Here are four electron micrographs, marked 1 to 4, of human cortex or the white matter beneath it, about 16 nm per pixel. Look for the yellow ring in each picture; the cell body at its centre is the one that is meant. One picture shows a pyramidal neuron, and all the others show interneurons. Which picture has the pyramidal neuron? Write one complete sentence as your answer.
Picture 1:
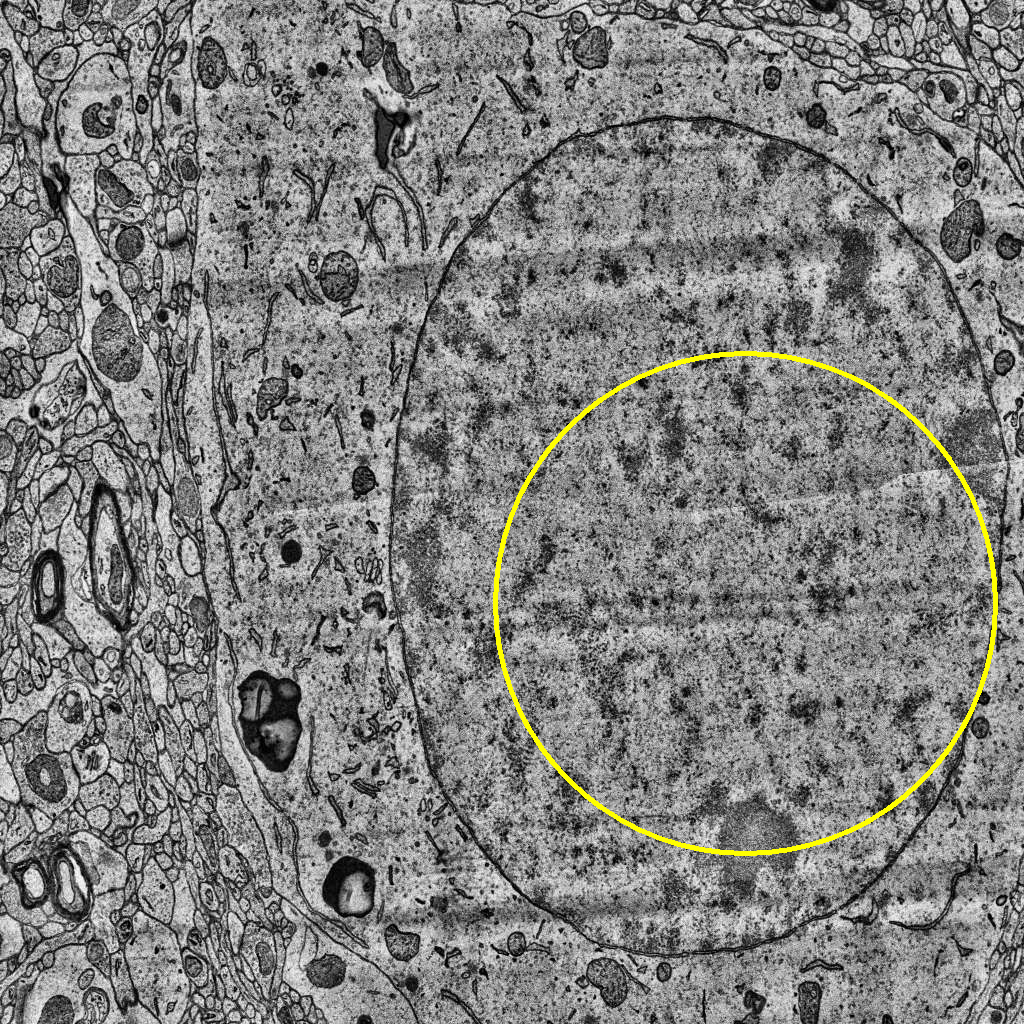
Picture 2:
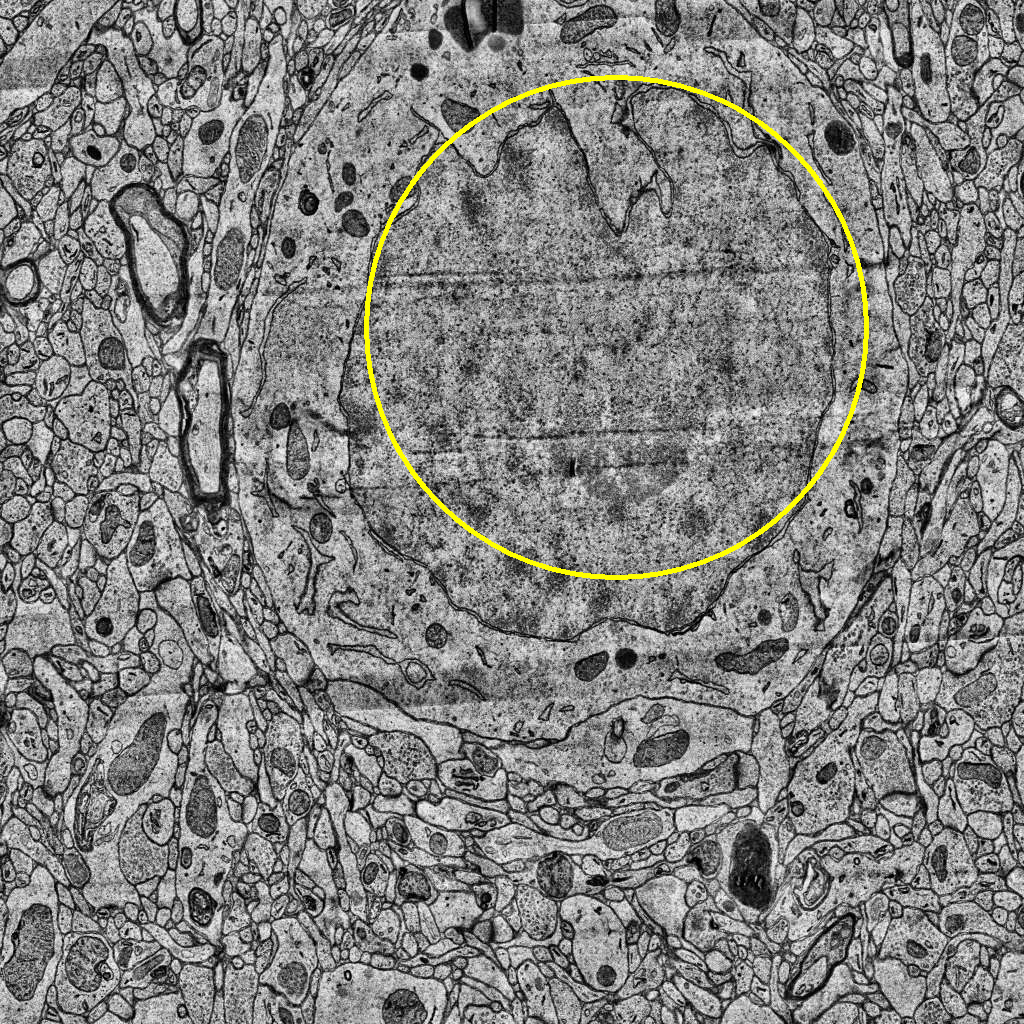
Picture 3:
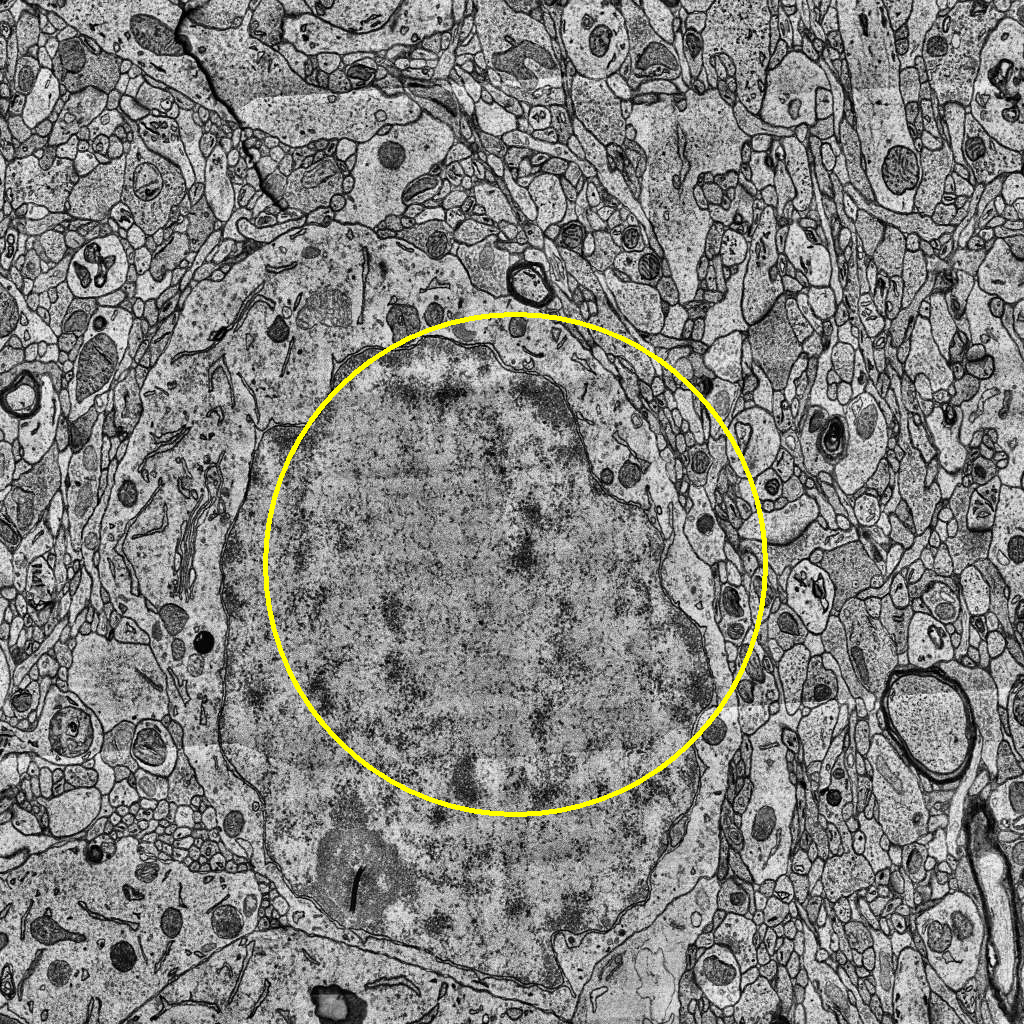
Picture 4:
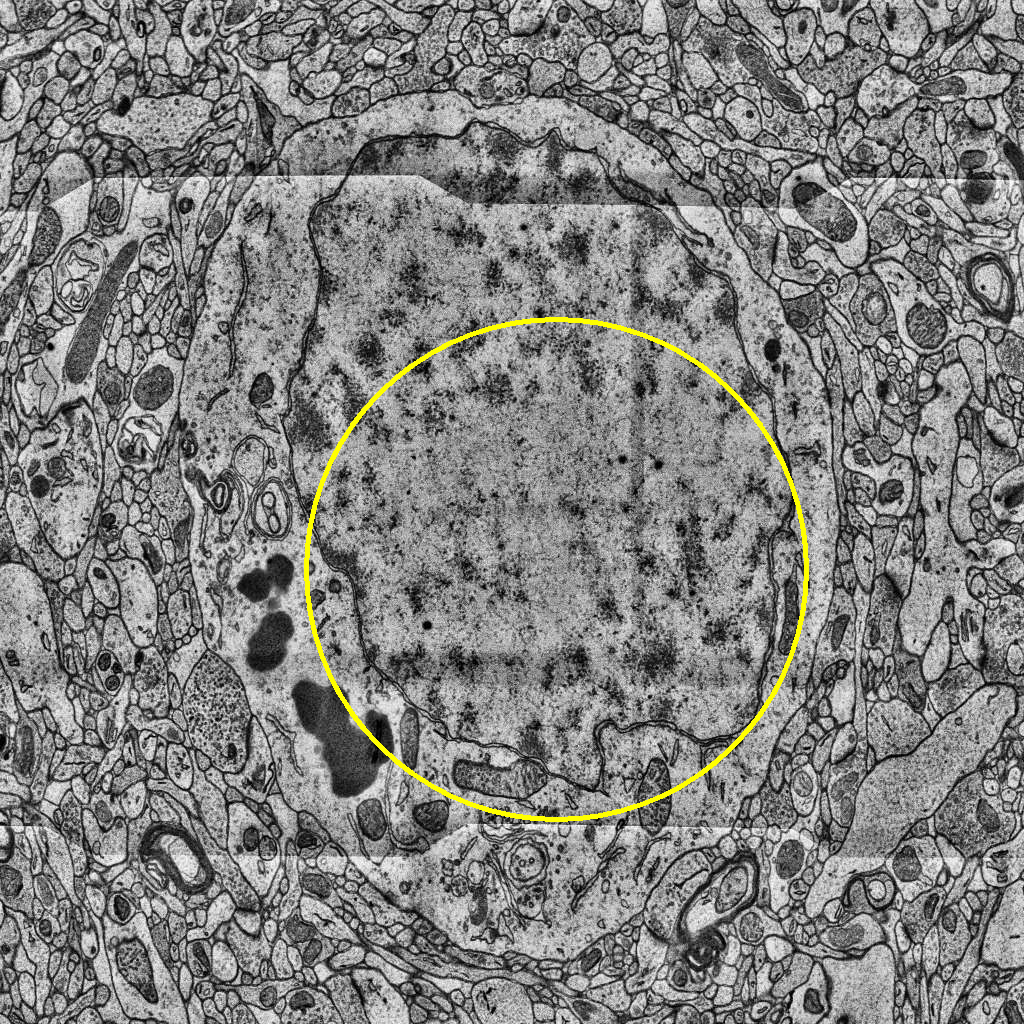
The pyramidal neuron is the one in picture 1.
